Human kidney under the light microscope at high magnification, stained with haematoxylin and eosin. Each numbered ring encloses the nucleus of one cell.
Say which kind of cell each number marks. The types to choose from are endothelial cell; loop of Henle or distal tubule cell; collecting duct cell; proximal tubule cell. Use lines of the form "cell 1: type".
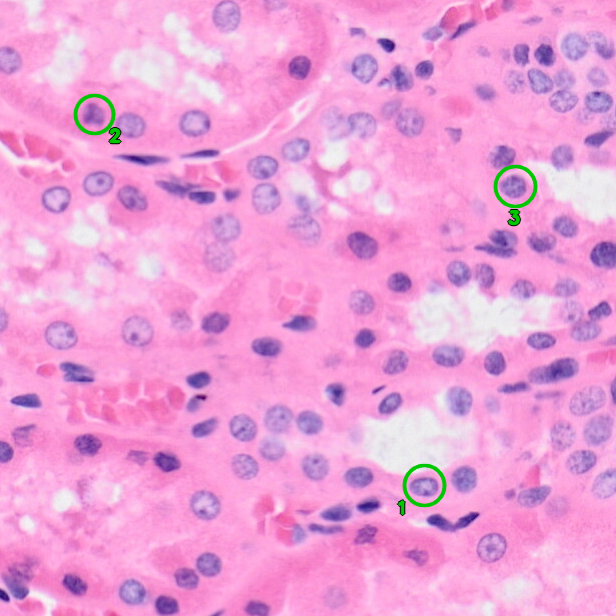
cell 1: loop of Henle or distal tubule cell
cell 2: proximal tubule cell
cell 3: loop of Henle or distal tubule cell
